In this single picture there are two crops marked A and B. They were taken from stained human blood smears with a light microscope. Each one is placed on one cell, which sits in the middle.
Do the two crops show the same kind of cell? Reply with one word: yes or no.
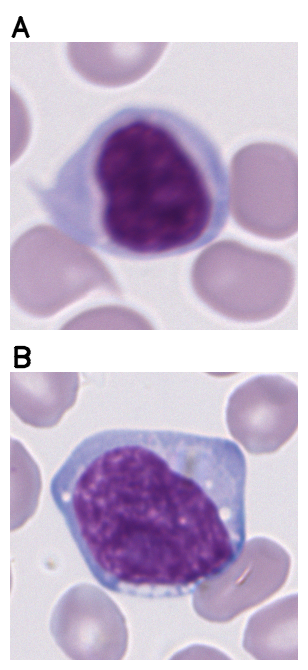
no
